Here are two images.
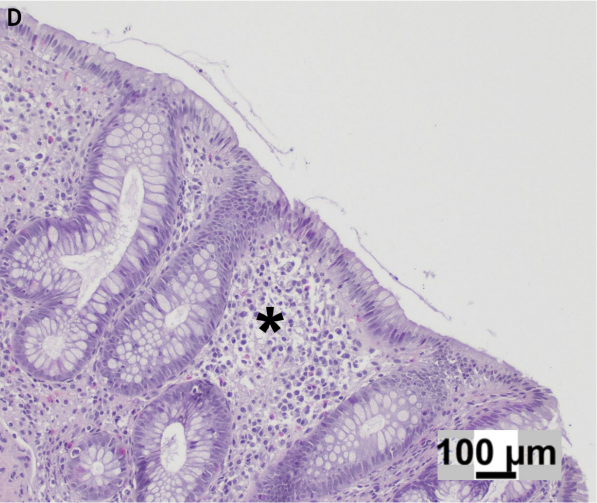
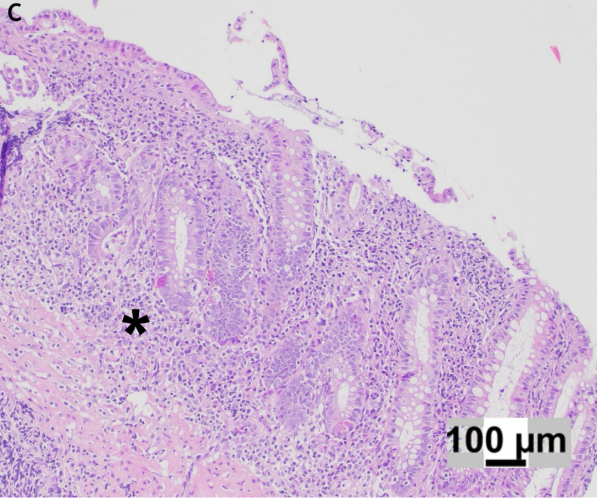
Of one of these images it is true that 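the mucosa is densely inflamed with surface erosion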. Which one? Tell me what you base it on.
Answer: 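The second image. First image: the surface epithelium is intact and the crypts are lined by goblet-cell-rich epithelium. Second image: the lamina propria is densely packed with inflammatory cells, the crypts are few and distorted, and the surface epithelium is partly lost.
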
